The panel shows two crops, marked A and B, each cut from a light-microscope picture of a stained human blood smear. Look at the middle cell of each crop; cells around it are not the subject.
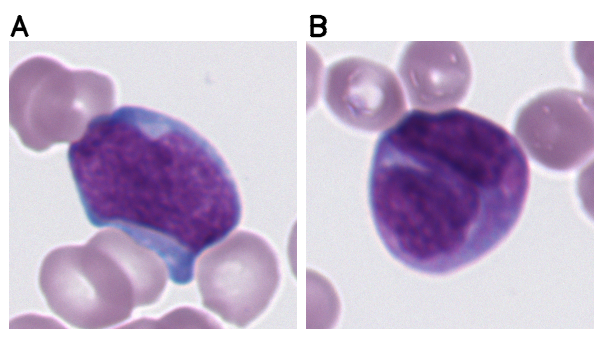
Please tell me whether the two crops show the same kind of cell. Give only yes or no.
no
